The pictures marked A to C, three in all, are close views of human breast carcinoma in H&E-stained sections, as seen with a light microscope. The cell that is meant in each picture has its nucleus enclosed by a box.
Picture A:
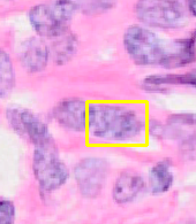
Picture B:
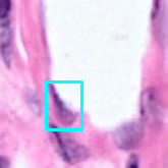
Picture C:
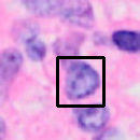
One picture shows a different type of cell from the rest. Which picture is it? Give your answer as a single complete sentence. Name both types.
All pictures except B show carcinoma cells; picture B shows an endothelial cell.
